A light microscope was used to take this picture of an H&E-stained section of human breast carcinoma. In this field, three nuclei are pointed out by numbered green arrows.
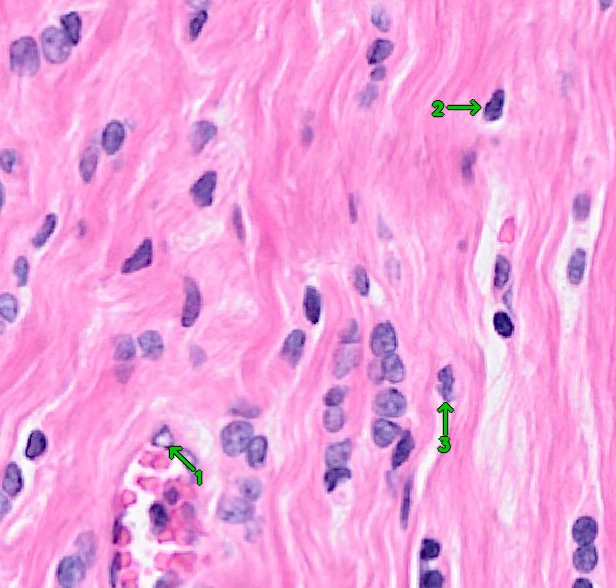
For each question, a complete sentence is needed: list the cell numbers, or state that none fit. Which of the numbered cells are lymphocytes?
The cells whose numbers are 2 and 3 are lymphocytes.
